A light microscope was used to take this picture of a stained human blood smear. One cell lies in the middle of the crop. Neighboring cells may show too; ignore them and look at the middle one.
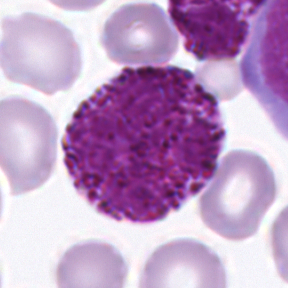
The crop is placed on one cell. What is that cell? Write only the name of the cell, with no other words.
basophil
